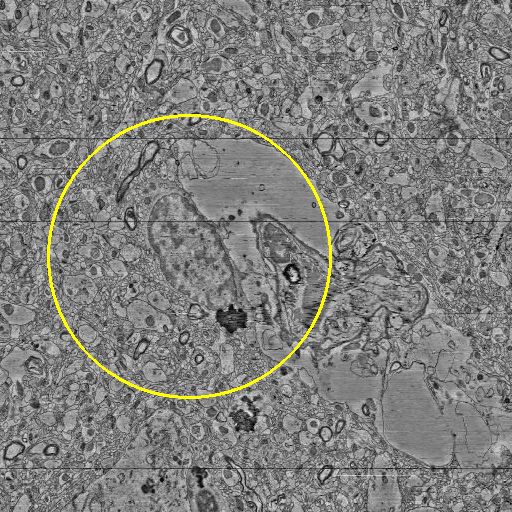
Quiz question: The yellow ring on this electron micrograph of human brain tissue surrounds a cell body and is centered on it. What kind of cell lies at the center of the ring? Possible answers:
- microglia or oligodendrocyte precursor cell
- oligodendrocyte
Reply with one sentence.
The ring's center lies on an oligodendrocyte.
